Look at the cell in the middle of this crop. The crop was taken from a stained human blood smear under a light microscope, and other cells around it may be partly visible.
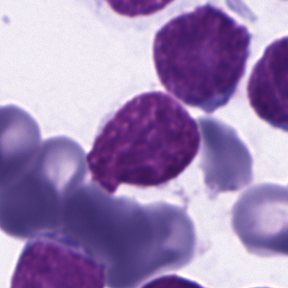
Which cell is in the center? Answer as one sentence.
Looking at the middle of the crop, the cell there is a myeloblast.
